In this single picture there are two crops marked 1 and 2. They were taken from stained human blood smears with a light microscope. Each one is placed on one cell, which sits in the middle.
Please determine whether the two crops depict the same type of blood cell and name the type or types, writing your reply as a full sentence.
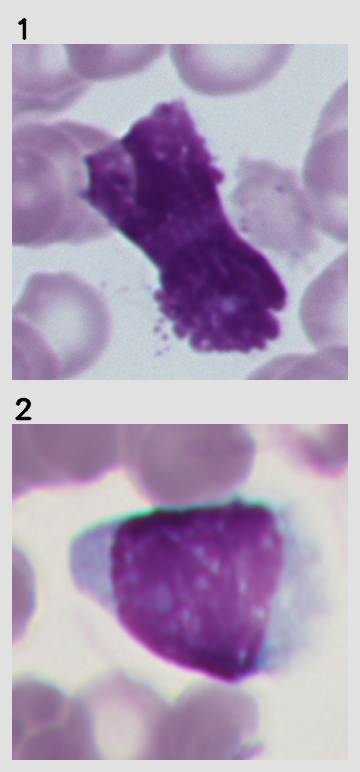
No, the cell centred in crop 1 is a smudge cell, and that centred in crop 2 is a typical lymphocyte.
